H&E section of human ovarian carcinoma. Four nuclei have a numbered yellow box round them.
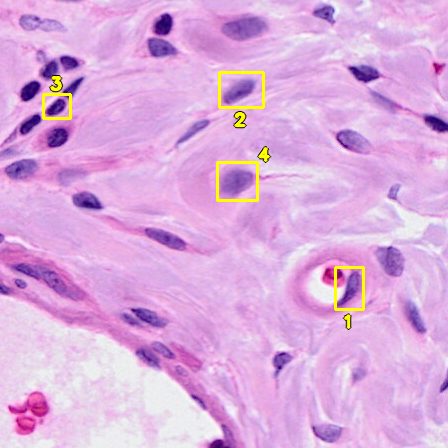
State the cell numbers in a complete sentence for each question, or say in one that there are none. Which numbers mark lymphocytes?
No marked cell except number 3 is a lymphocyte.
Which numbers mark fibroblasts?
The cells the numbers 2 and 4 point to are fibroblasts.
